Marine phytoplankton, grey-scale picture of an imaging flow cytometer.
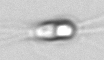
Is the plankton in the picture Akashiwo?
No, it is Chrysochromulina parkeae.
